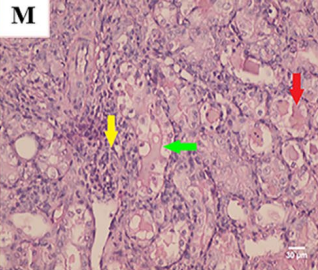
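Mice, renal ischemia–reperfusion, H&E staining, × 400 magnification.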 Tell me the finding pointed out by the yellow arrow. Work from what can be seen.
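The arrow points to a cluster of closely packed dark nuclei in the interstitium. The cluster stands out from the paler surrounding tubules. On this evidence: inflammation.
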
